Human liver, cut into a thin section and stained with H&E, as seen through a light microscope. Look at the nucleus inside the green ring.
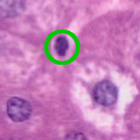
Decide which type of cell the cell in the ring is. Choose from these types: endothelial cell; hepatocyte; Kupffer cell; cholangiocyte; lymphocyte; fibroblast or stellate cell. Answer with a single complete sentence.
The cell in the ring is a lymphocyte.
